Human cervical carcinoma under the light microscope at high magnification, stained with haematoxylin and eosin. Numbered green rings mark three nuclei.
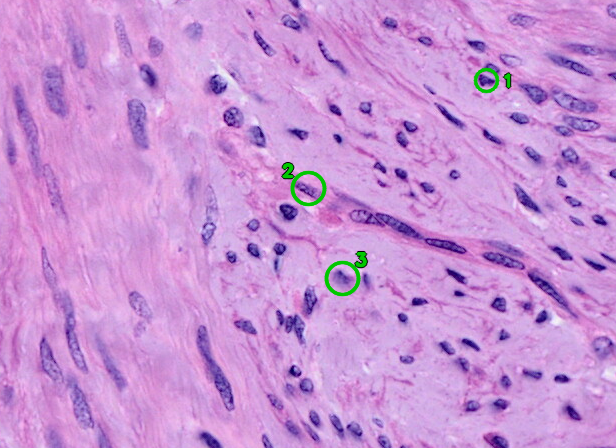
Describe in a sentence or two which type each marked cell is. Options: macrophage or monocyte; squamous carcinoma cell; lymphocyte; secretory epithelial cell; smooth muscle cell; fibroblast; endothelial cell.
Cell 1 is a smooth muscle cell, cell 2 is an endothelial cell and cell 3 is a fibroblast.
